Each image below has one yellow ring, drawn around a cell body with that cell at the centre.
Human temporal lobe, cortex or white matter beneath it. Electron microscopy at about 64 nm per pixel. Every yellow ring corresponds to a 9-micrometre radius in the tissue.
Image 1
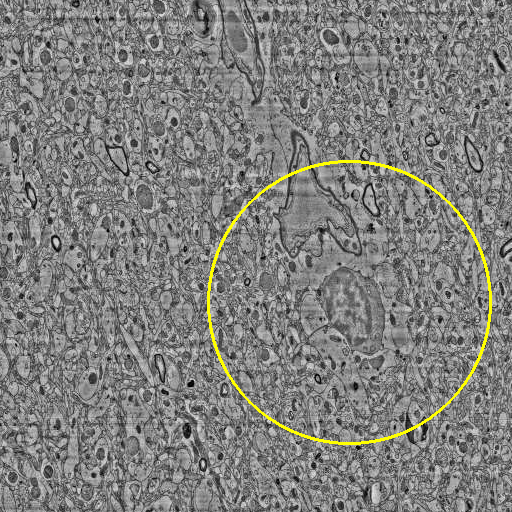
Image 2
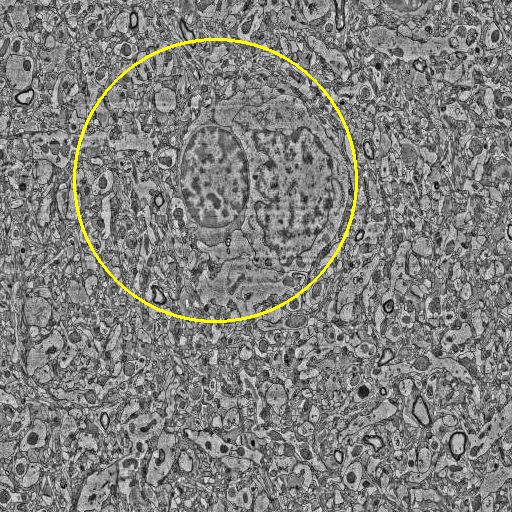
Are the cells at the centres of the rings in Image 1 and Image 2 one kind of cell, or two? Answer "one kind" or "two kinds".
one kind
